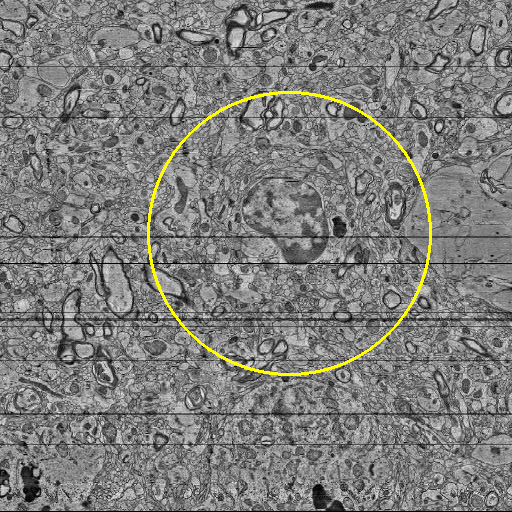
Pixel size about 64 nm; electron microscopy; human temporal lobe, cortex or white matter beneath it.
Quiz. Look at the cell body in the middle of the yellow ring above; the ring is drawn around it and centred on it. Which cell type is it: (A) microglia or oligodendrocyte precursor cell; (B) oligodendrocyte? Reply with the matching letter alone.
A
